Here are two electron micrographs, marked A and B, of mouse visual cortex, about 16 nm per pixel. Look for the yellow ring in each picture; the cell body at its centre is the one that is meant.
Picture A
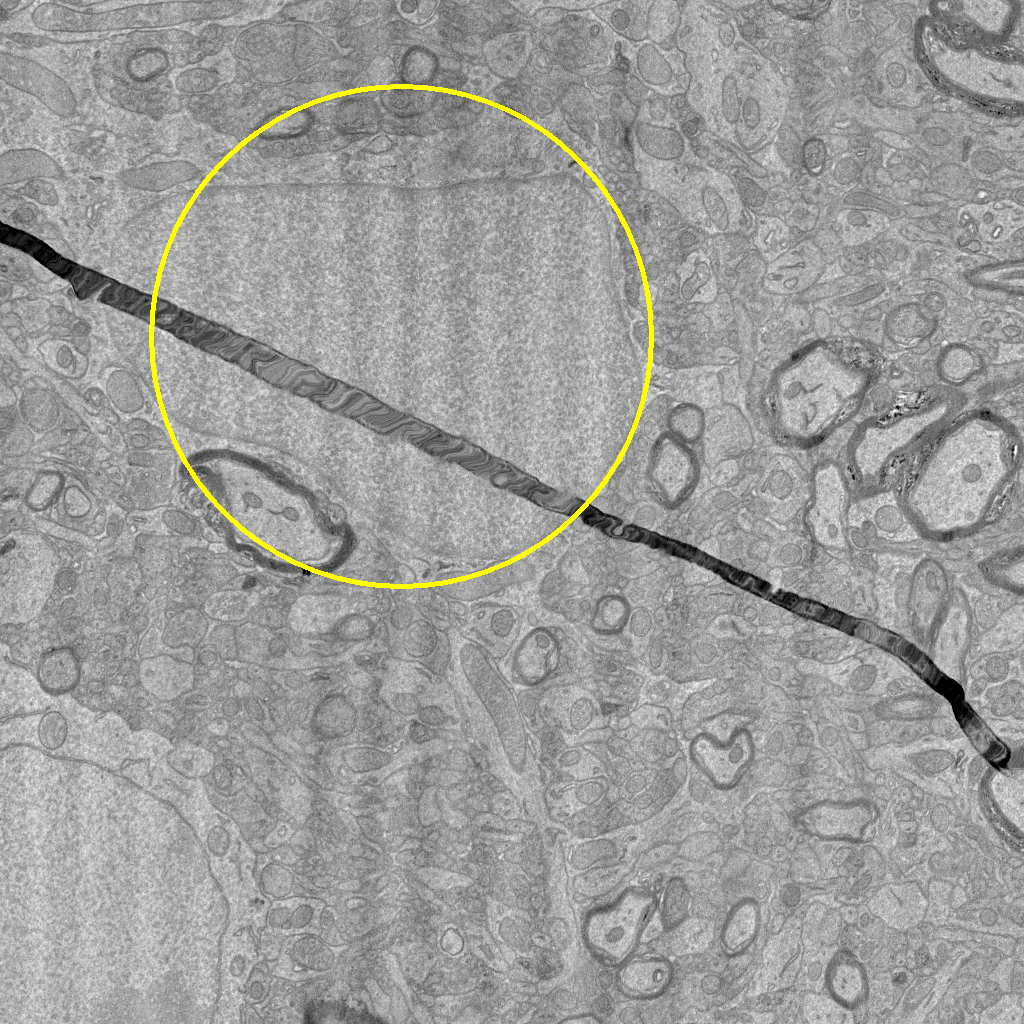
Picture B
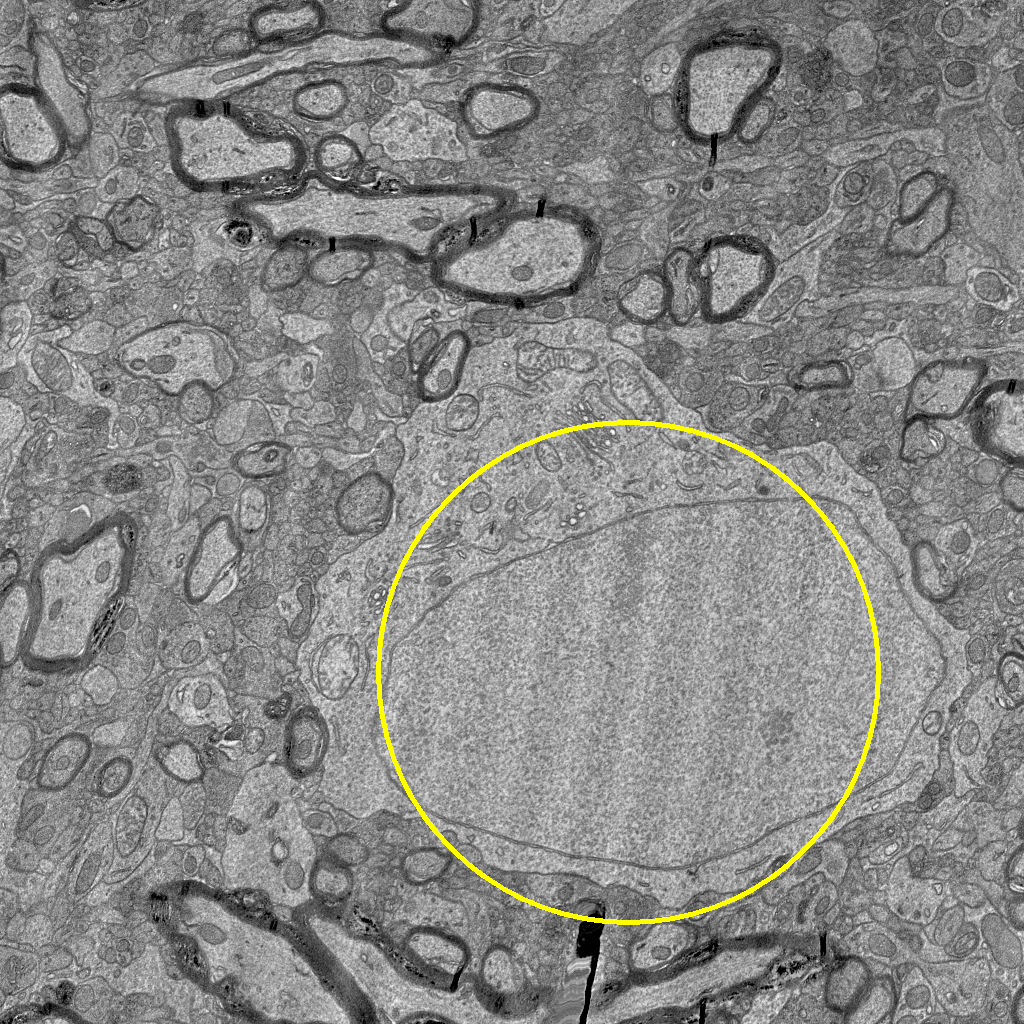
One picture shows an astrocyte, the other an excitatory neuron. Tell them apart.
Picture B shows an excitatory neuron, while picture A shows an astrocyte.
